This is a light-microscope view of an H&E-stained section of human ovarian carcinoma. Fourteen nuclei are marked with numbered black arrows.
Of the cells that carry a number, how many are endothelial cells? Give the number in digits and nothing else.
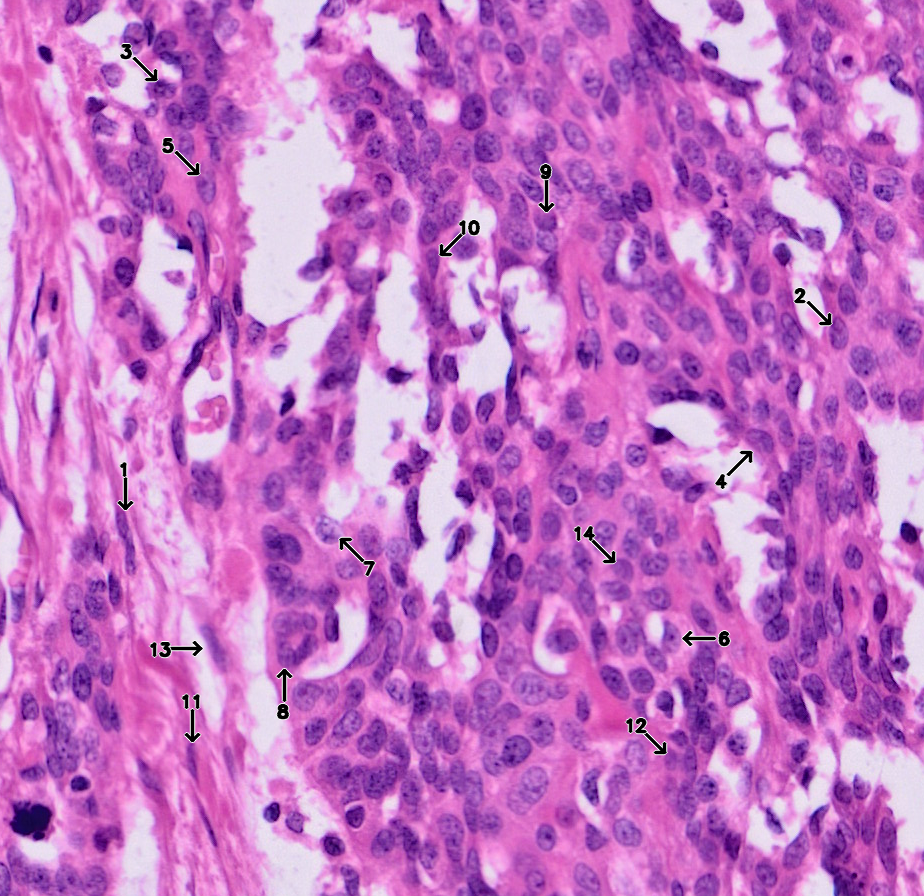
1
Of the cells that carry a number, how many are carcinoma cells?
8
